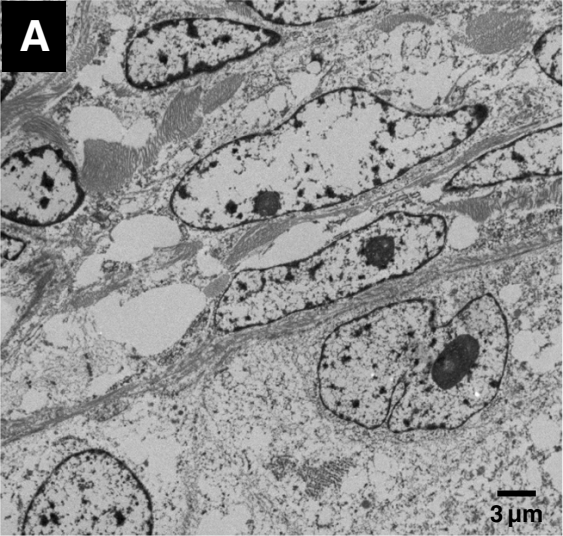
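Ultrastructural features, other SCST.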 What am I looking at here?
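This tumour shows two kinds of cells: polygonal cells and elongated cells. The polygonal cells have large, irregular nuclei with dispersed chromatin, small peripheral chromatin clumps and conspicuous, dense round nucleoli. The elongated cells carry long oval nuclei and lie in parallel rows.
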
